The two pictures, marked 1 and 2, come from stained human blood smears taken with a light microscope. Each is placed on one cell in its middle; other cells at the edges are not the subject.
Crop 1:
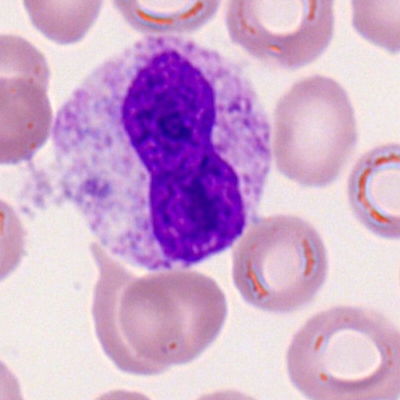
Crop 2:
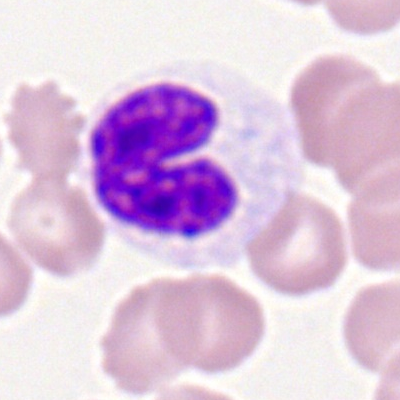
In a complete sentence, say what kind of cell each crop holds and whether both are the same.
Yes, the cells at the centres of the two crops are band neutrophils.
